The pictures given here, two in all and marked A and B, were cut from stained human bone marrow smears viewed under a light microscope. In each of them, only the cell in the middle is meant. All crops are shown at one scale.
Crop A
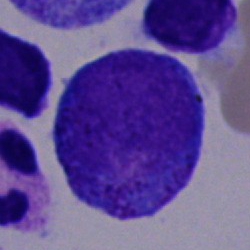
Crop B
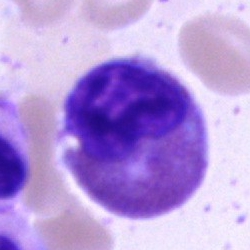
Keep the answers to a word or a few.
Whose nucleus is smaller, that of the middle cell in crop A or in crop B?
B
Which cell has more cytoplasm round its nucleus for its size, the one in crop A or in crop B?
B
